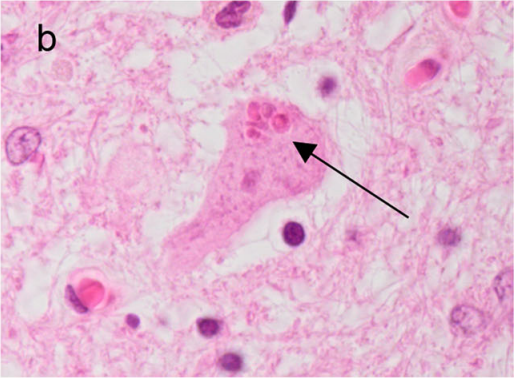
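Near the top of the cell body sits a small cluster of tiny round, bright pink granules. Around it lies a loose, somewhat vacuolated neuropil. Scattered small dark round nuclei of glial cells lie nearby, far smaller than the neuron itself.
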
